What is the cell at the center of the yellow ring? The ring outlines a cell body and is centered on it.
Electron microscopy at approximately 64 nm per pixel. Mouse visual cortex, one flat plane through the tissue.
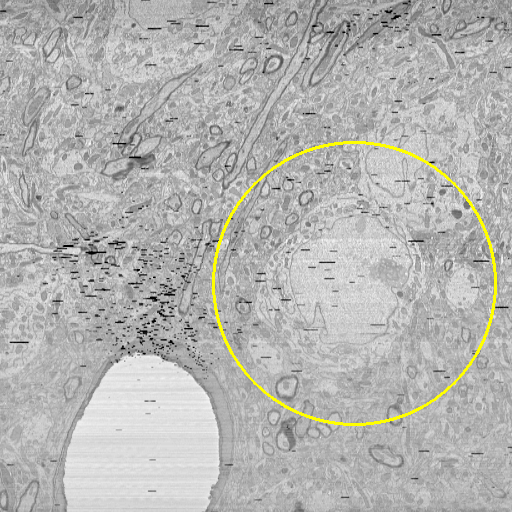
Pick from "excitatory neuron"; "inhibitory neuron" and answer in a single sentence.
The yellow ring is centered on an inhibitory neuron.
